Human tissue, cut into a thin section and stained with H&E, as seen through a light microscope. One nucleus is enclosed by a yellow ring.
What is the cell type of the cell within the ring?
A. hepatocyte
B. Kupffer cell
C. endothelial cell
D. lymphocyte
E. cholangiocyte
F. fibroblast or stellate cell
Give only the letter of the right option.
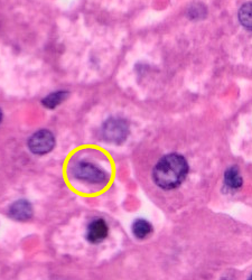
B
